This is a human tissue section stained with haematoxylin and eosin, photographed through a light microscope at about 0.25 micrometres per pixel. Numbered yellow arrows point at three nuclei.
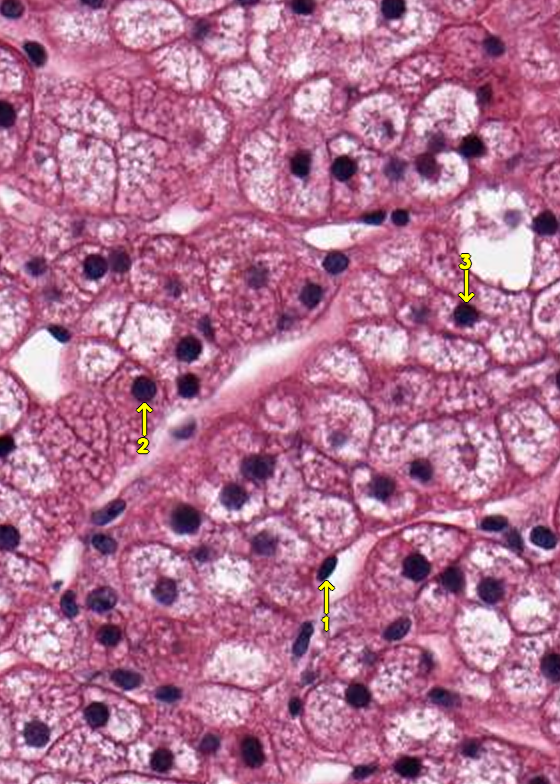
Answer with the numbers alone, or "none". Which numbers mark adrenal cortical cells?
2, 3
